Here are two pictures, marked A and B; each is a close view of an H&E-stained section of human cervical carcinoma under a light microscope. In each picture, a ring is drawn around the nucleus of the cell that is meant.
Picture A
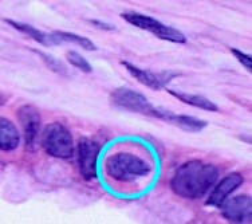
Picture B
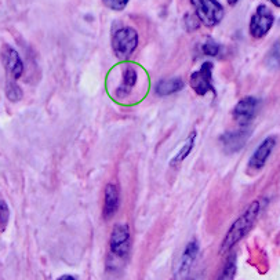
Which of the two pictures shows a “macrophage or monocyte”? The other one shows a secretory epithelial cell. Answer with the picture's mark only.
B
